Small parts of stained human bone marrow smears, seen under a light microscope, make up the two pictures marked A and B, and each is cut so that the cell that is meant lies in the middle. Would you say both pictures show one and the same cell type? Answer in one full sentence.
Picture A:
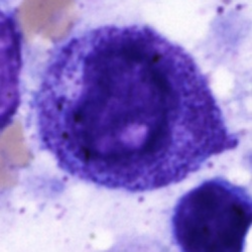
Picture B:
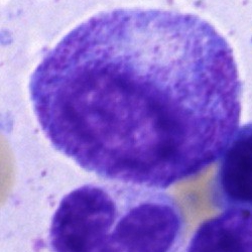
Yes, both are promyelocytes.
